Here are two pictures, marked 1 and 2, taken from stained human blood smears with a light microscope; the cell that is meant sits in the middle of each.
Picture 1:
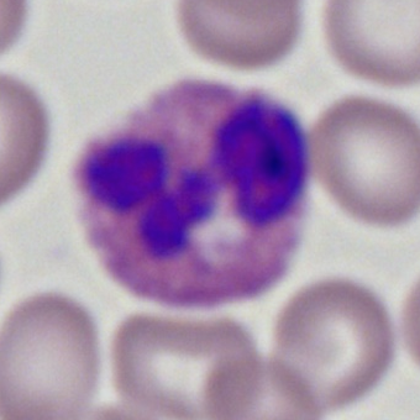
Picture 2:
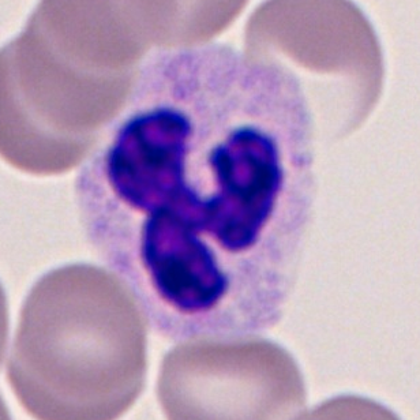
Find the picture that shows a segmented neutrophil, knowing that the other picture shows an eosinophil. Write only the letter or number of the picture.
2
